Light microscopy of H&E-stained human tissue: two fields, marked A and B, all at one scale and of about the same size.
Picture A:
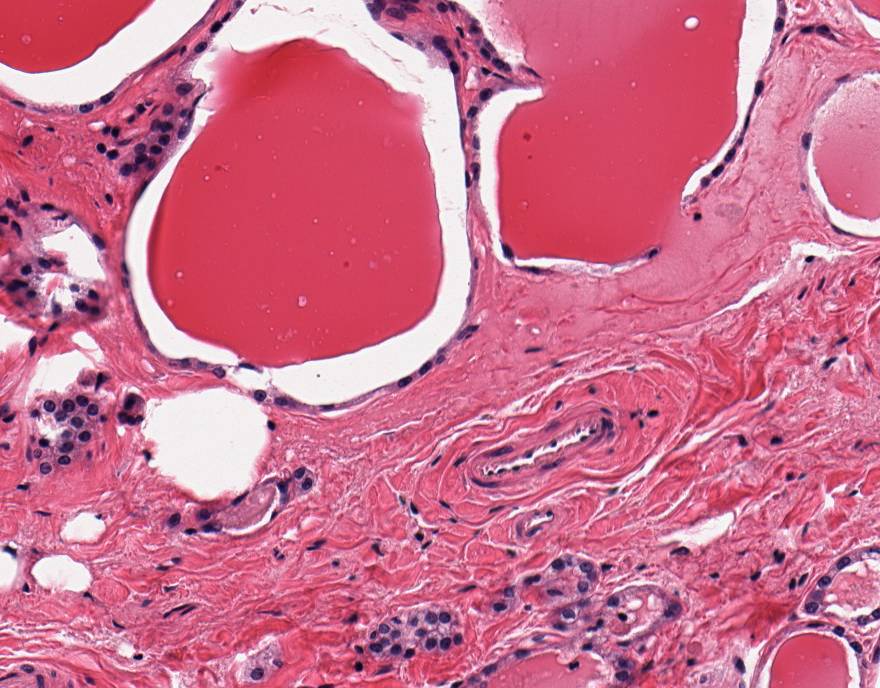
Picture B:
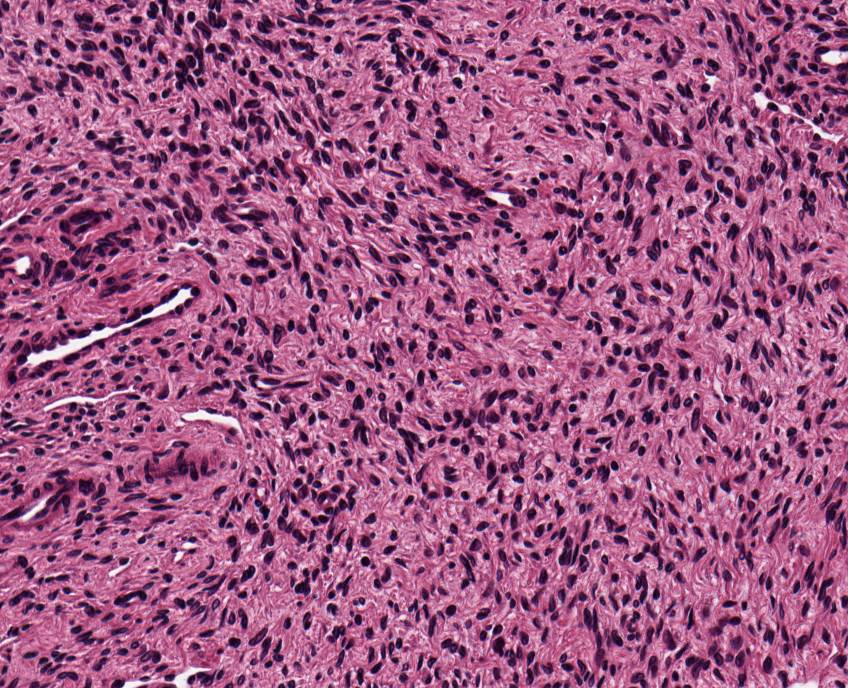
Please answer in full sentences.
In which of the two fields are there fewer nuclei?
There are fewer nuclei in picture A.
